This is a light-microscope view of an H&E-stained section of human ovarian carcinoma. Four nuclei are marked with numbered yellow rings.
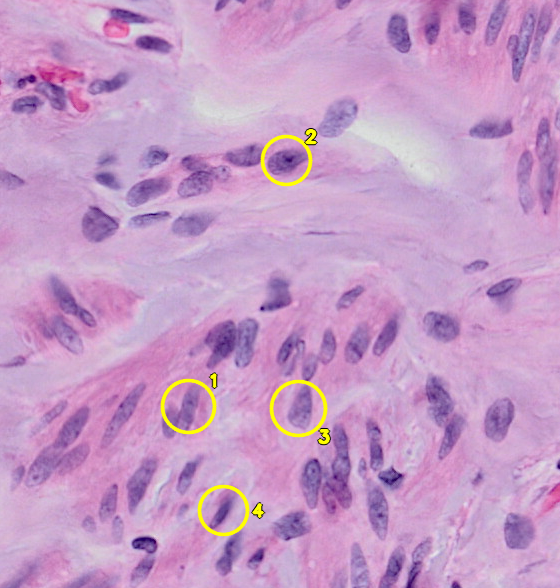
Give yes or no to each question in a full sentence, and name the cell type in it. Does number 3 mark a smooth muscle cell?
Yes. The cell carrying number 3 is a smooth muscle cell.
